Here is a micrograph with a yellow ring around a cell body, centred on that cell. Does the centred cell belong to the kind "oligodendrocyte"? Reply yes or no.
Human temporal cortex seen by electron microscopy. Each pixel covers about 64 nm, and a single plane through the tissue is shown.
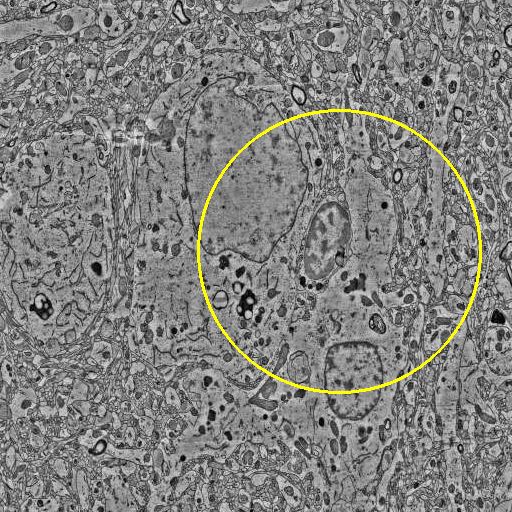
no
